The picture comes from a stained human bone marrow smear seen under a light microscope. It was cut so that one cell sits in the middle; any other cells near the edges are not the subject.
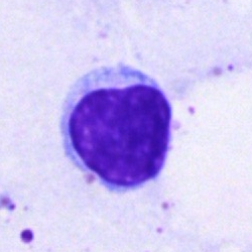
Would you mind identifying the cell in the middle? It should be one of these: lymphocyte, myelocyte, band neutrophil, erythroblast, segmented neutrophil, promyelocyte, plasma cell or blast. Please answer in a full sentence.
To answer, the cell in the center of the crop is a lymphocyte.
